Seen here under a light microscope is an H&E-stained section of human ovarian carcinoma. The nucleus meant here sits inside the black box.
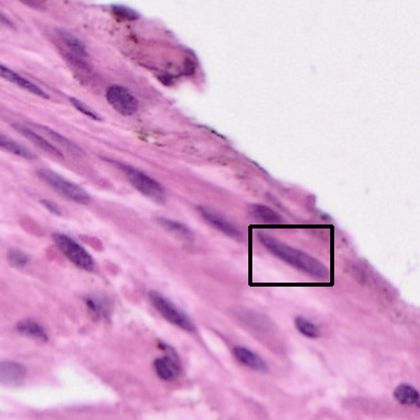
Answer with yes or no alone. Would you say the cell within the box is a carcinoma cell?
no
